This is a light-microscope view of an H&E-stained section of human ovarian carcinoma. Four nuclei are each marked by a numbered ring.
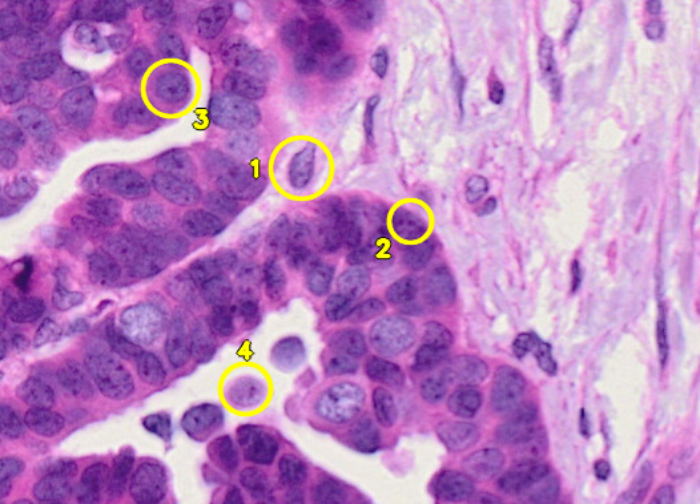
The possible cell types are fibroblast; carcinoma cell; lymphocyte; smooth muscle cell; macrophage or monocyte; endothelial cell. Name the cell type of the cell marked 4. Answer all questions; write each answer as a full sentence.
The cell that bears the number 4 is a carcinoma cell.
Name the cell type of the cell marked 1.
Cell number 1 in this section is a macrophage or monocyte.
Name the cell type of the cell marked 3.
Number 3 among the marked cells is a carcinoma cell.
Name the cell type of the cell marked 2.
The cell referred to as 2 is a carcinoma cell.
